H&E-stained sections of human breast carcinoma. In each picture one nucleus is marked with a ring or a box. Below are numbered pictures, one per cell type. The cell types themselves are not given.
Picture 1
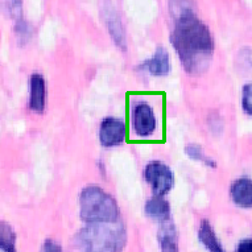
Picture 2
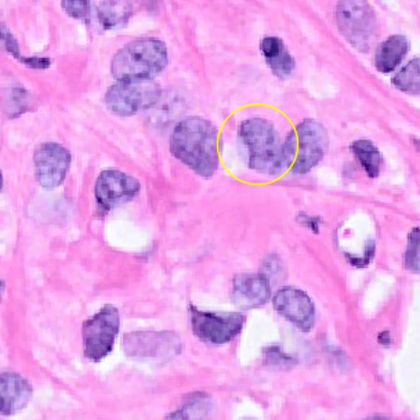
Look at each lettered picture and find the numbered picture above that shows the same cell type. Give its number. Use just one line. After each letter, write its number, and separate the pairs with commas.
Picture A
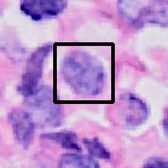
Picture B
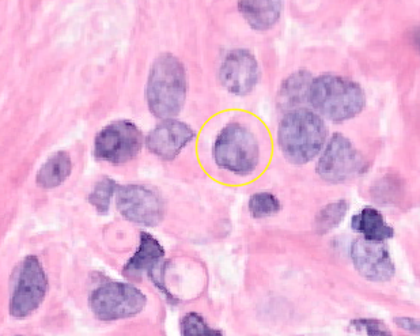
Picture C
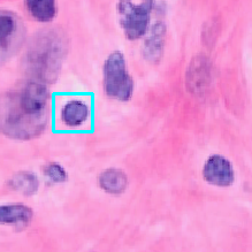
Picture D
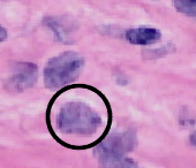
A 2, B 2, C 1, D 2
